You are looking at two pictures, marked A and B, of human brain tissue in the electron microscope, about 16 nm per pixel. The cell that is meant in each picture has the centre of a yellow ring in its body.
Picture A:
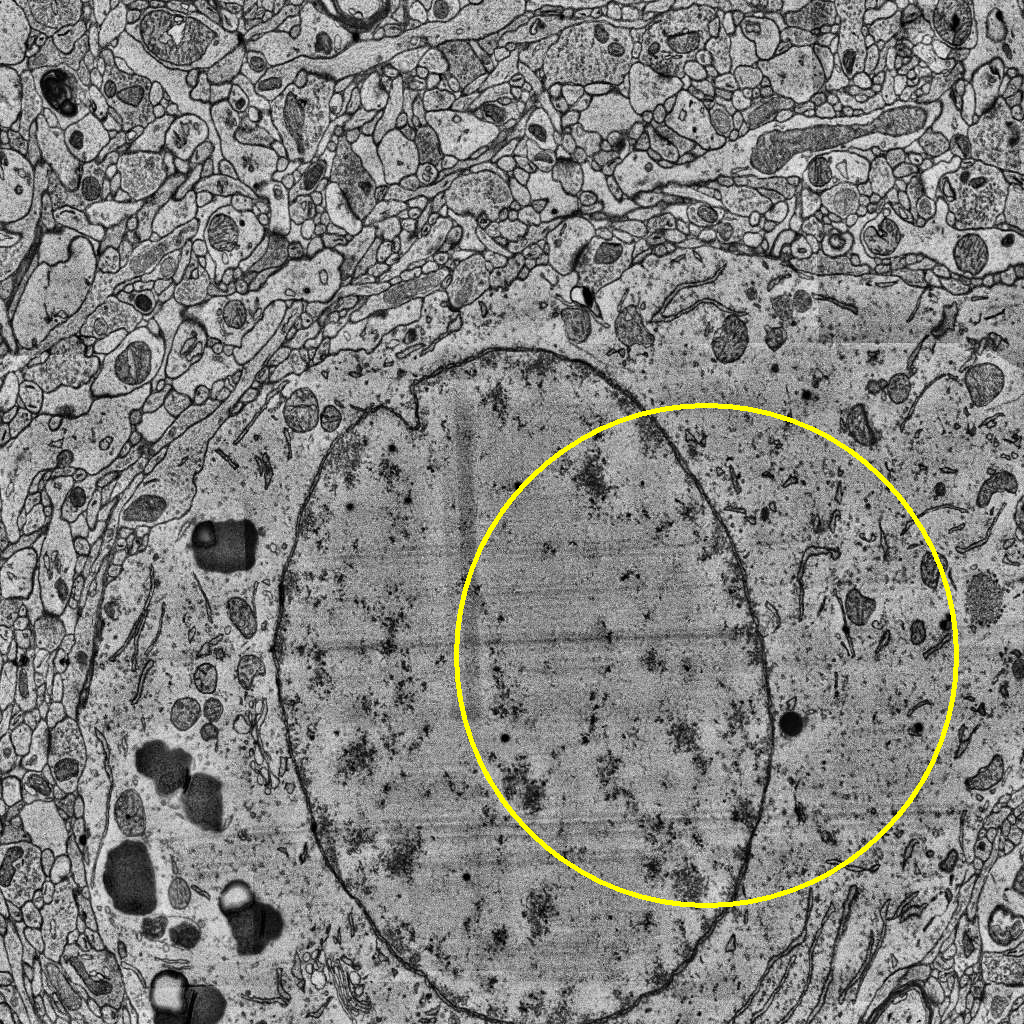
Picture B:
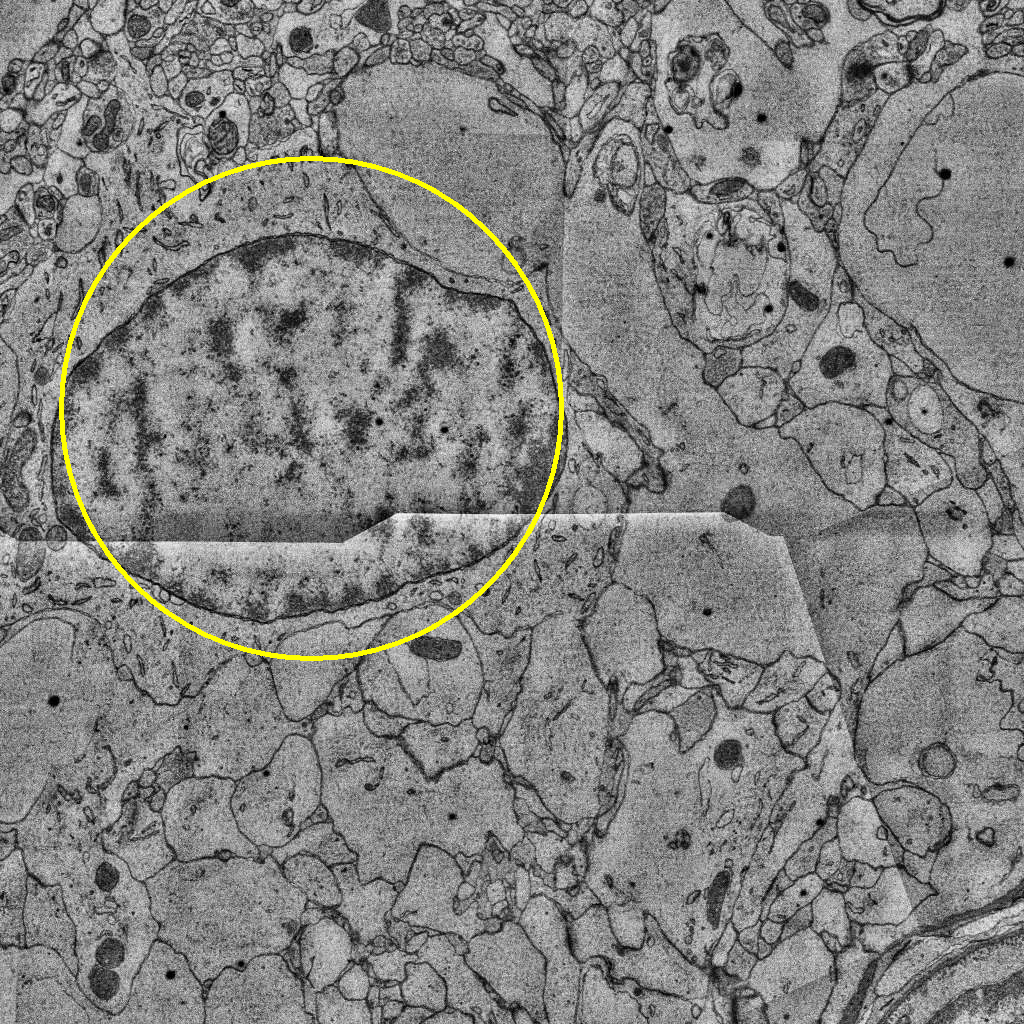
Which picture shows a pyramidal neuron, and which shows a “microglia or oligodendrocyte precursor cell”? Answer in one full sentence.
In picture A the cell is a pyramidal neuron; in picture B, a “microglia or oligodendrocyte precursor cell”.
